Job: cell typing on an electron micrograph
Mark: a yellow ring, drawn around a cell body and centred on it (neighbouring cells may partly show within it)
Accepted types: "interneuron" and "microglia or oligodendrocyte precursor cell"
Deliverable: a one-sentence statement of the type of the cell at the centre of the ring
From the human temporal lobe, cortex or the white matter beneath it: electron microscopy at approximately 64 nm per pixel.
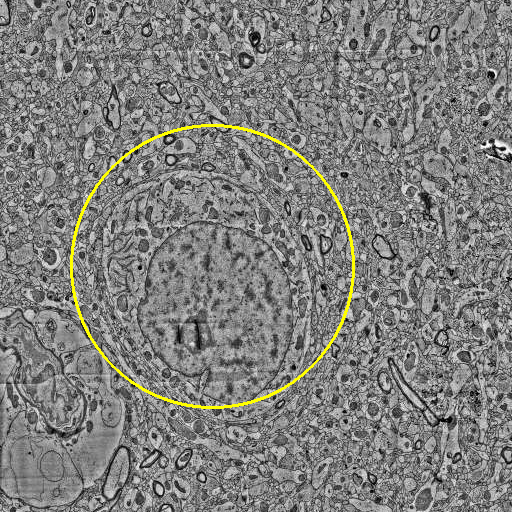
The centred cell body is that of an interneuron.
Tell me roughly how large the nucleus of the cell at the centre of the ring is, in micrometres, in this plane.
In this plane, approximately 12 by 10 micrometers.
